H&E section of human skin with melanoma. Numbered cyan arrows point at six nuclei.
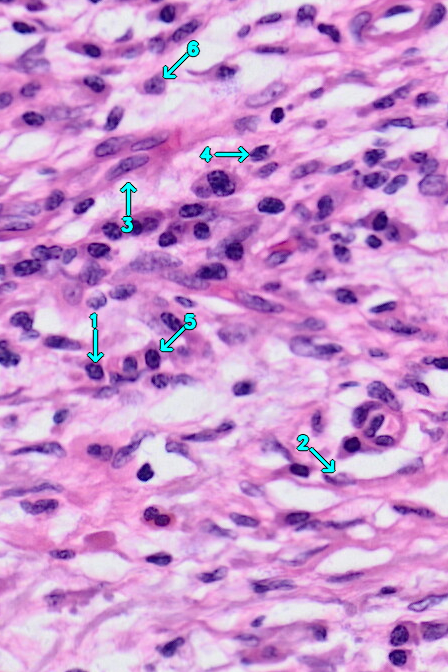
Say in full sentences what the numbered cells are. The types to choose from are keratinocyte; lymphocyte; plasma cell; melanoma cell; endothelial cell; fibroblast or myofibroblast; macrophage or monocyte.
Cell 1 is a plasma cell, cell 2 is a fibroblast or myofibroblast, cell 3 is an endothelial cell, cell 4 is a lymphocyte, cell 5 is a plasma cell and cell 6 is a macrophage or monocyte.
